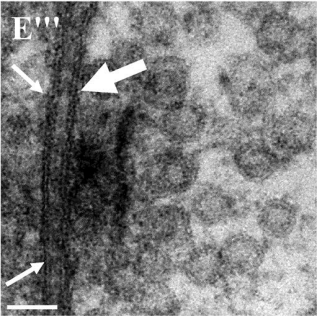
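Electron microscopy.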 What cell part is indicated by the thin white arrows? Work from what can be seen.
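Postsynaptic membrane. The arrows point to a parallel membrane on the far side of a narrow cleft, away from the vesicles.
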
